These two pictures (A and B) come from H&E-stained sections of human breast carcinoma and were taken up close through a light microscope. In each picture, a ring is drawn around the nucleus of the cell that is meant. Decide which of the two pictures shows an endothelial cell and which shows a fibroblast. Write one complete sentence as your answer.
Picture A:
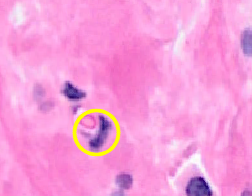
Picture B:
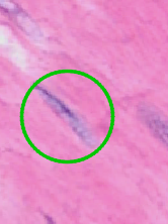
In picture A the cell is an endothelial cell; in picture B, a fibroblast.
